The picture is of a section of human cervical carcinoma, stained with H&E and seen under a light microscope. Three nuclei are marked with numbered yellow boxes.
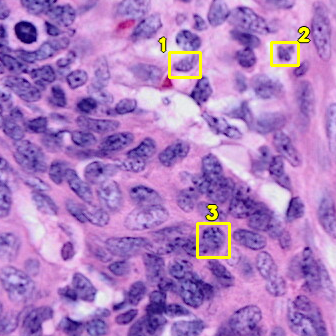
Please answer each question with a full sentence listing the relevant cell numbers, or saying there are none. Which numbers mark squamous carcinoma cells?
There is only one numbered cell that is a squamous carcinoma cell, and it is cell 3.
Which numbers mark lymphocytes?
Of the marked cells, the one numbered 2 is a lymphocyte and the rest are not.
